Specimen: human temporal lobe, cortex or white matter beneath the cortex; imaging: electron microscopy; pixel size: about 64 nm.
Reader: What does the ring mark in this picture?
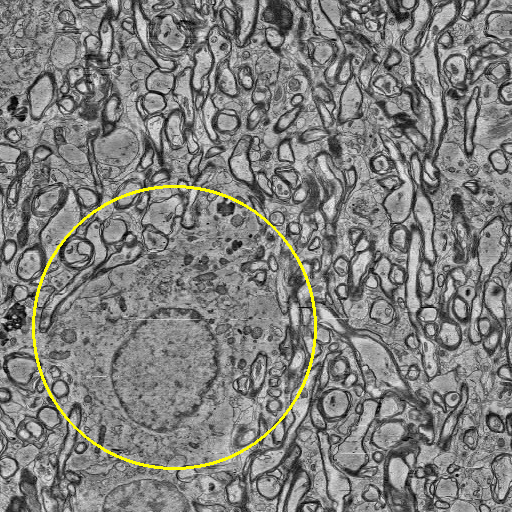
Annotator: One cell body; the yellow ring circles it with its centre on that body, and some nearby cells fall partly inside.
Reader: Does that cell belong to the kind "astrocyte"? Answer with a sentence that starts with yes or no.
Yes, in this picture the ringed cell at the centre belongs to that kind.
